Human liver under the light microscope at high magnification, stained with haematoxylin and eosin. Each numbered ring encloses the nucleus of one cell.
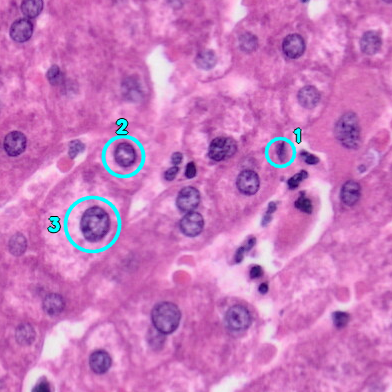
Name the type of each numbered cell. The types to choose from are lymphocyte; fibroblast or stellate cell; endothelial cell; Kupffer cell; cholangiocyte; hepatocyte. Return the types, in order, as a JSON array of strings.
["fibroblast or stellate cell", "hepatocyte", "hepatocyte"]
